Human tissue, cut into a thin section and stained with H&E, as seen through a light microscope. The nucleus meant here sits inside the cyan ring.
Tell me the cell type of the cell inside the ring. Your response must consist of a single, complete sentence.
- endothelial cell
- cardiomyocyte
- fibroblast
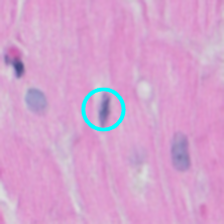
The identity of the cell inside the ring: it is an endothelial cell.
